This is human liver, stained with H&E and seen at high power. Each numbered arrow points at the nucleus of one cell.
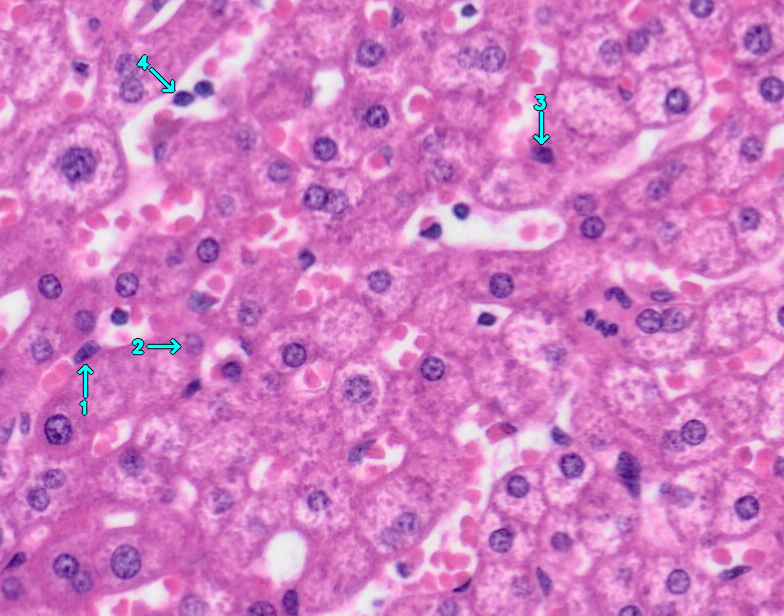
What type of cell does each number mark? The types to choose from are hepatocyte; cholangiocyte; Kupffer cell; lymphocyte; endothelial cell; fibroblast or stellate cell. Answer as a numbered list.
1. fibroblast or stellate cell
2. hepatocyte
3. fibroblast or stellate cell
4. lymphocyte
